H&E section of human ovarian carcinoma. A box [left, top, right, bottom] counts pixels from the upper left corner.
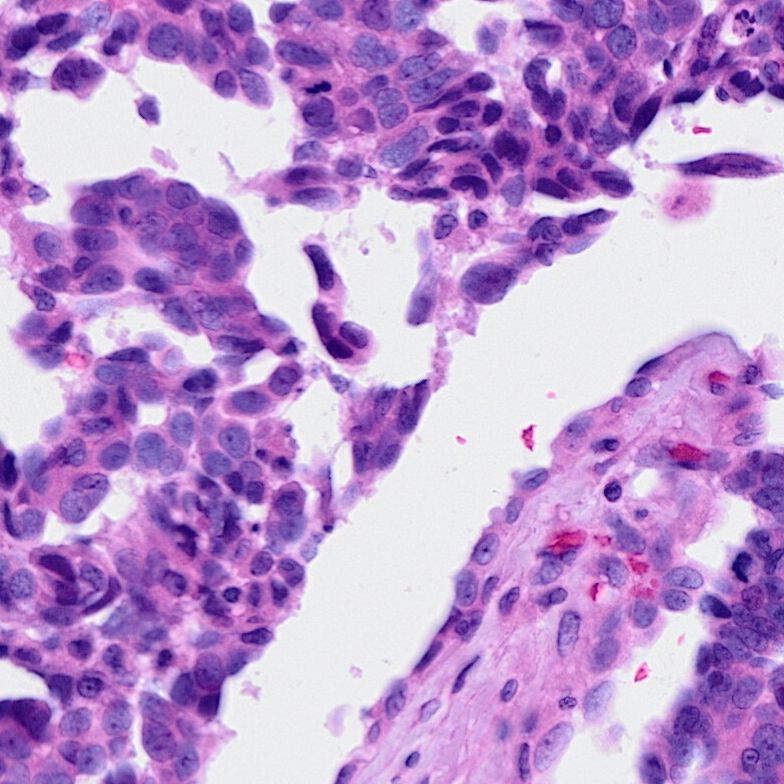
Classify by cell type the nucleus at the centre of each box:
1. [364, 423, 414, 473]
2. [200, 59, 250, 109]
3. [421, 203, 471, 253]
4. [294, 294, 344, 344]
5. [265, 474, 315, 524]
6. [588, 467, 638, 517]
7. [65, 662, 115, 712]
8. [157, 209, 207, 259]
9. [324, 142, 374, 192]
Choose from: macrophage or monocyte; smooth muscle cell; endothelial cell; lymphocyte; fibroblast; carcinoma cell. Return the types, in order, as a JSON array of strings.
["carcinoma cell", "carcinoma cell", "macrophage or monocyte", "carcinoma cell", "carcinoma cell", "lymphocyte", "macrophage or monocyte", "carcinoma cell", "macrophage or monocyte"]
